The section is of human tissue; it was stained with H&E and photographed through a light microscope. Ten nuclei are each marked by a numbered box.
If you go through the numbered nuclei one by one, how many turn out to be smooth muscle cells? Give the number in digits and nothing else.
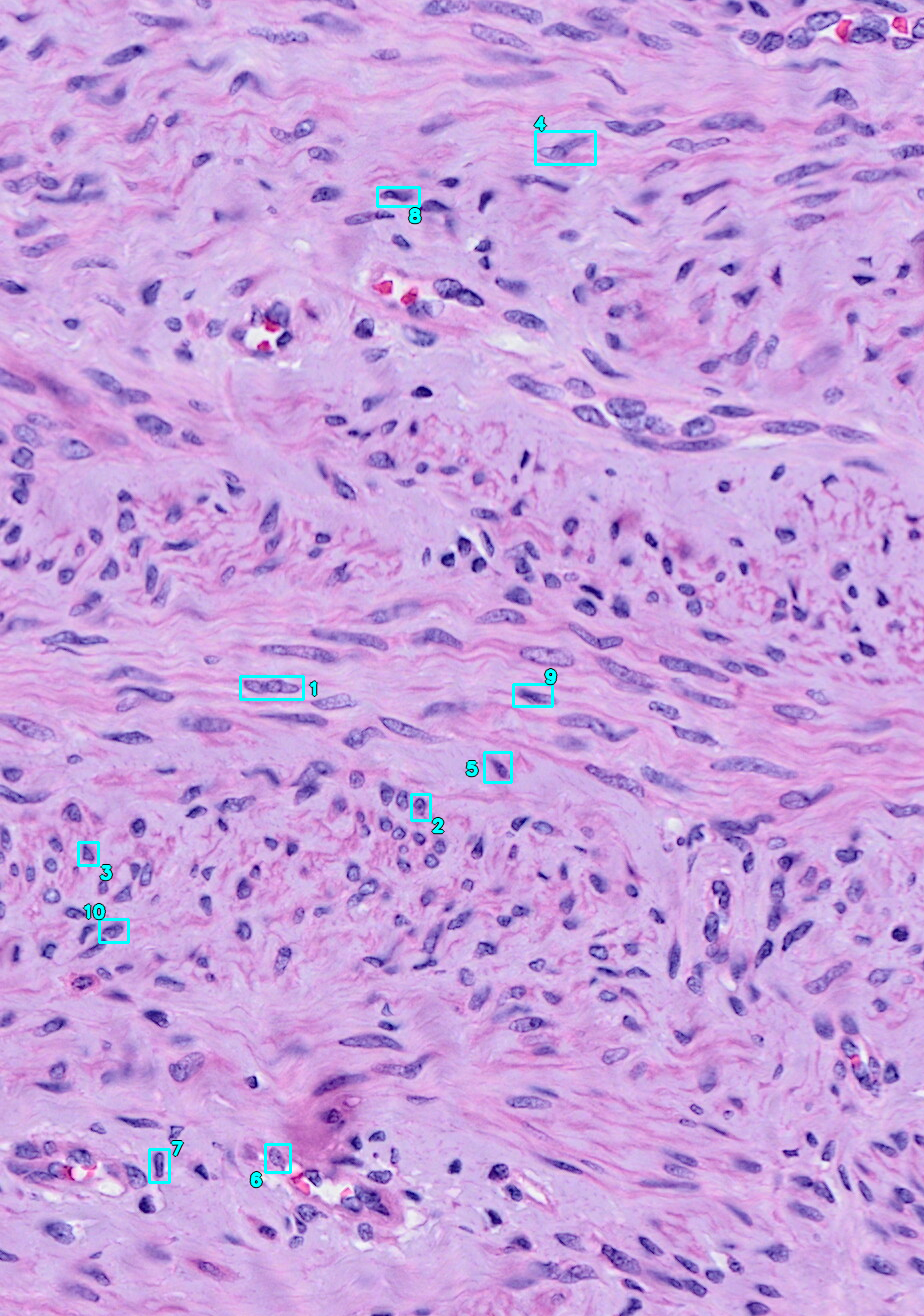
6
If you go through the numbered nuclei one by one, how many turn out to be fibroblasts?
3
